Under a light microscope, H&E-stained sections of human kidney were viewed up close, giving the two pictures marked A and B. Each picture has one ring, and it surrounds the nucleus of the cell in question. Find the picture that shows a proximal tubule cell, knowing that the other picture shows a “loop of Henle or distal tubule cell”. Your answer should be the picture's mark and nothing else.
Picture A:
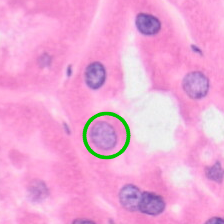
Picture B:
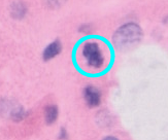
A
